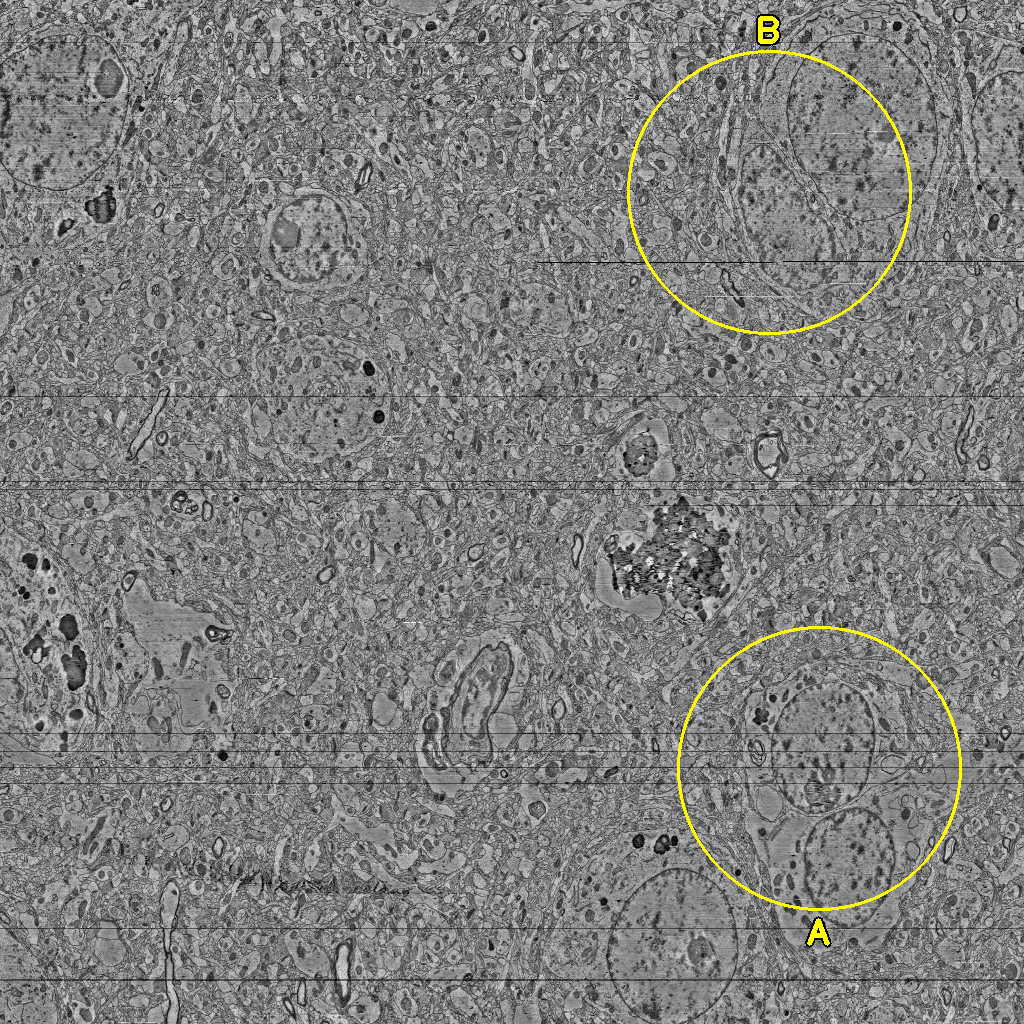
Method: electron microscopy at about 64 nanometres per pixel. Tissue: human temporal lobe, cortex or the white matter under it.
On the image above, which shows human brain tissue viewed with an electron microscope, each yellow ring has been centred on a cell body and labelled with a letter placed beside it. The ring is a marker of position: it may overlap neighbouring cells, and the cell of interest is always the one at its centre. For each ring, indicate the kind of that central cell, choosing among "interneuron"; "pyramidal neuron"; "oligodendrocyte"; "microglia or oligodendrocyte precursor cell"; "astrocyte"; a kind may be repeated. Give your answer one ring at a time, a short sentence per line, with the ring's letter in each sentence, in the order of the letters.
Ring A shows an astrocyte at its centre.
Ring B shows an interneuron at its centre.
